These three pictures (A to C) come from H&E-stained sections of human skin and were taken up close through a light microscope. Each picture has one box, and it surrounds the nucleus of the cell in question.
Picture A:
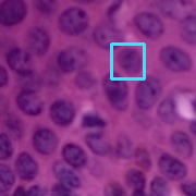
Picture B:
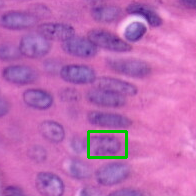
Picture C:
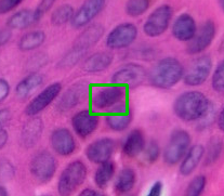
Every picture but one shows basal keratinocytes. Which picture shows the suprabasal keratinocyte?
A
